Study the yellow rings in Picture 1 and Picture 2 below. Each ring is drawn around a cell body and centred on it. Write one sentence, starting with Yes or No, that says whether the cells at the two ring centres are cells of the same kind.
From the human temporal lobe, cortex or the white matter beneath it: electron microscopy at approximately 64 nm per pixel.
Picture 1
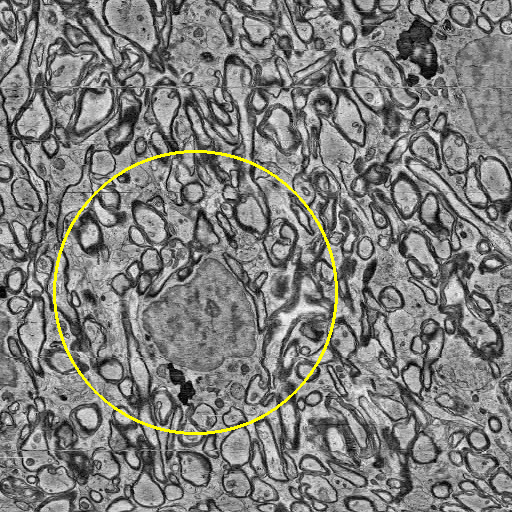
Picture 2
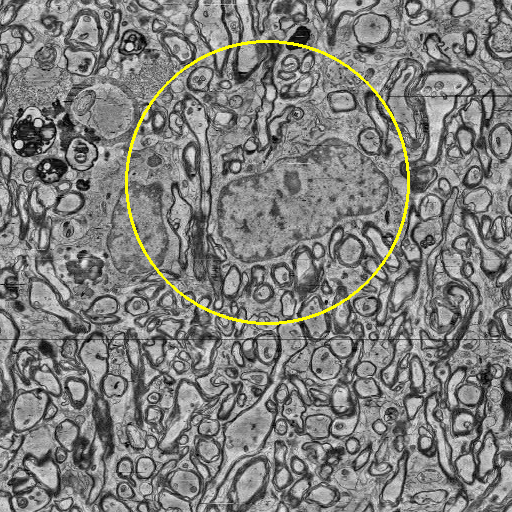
No, the cells at the ring centres are of two kinds.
